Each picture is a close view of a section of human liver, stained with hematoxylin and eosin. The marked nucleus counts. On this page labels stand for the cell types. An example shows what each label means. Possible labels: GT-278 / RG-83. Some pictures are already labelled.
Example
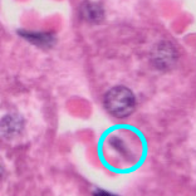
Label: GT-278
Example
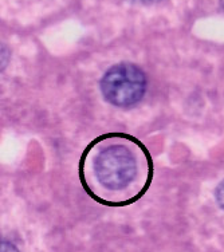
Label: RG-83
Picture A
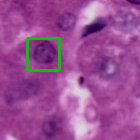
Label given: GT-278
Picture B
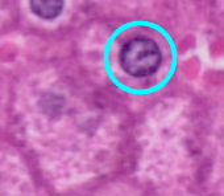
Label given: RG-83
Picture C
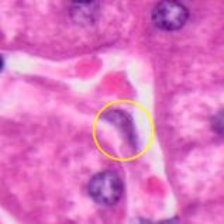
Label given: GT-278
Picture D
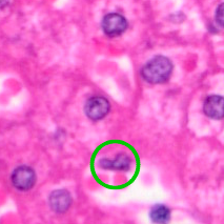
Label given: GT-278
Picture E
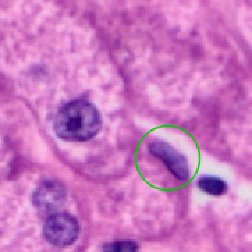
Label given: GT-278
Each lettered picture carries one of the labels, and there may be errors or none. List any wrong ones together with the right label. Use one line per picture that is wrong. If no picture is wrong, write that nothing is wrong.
A is labelled GT-278; correct label: RG-83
